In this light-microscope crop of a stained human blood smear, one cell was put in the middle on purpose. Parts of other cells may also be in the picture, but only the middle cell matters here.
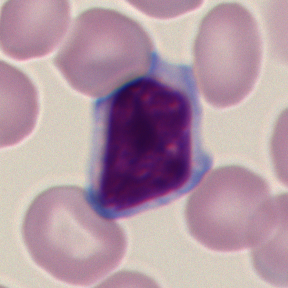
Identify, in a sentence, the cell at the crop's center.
The cell found in the middle of this crop is a typical lymphocyte.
